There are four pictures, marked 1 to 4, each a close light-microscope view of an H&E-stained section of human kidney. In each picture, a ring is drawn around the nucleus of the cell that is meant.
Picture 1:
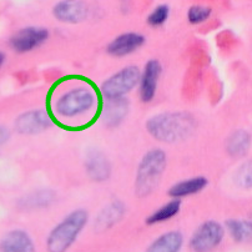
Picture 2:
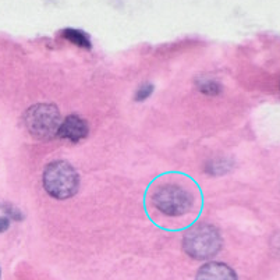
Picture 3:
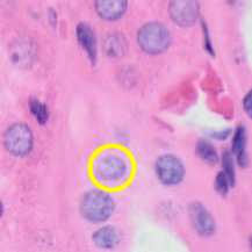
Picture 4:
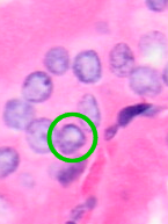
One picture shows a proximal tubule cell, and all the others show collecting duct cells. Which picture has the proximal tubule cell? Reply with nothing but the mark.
2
